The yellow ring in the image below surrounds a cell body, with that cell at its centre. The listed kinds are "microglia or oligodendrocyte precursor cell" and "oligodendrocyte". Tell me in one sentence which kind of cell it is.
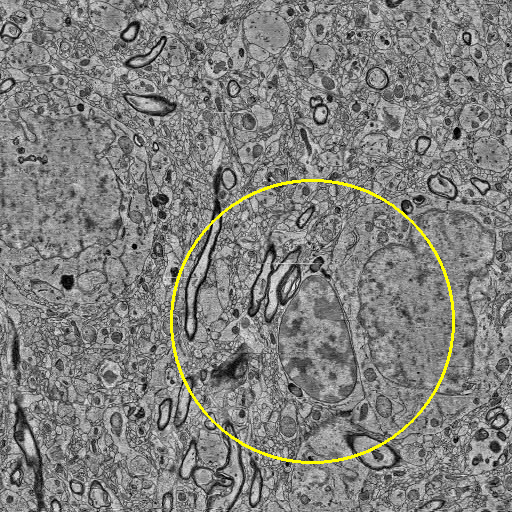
The centre of the ring holds a microglial cell or oligodendrocyte precursor cell.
